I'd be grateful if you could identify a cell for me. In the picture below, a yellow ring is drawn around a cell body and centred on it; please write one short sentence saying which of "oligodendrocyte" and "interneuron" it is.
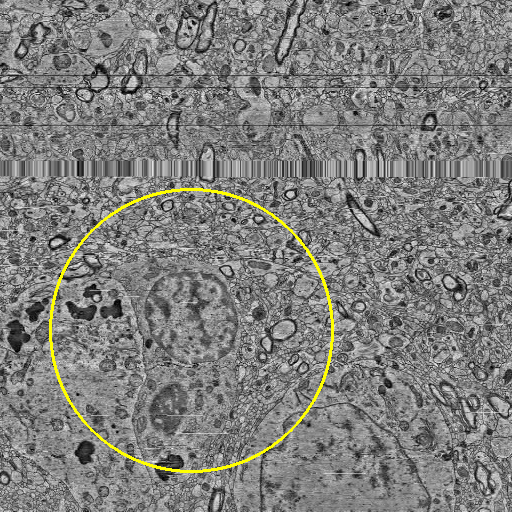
The cell under the ring's centre is an oligodendrocyte.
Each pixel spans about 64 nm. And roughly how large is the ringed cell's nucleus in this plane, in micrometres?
In this plane the nucleus measures roughly 6 micrometres across.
